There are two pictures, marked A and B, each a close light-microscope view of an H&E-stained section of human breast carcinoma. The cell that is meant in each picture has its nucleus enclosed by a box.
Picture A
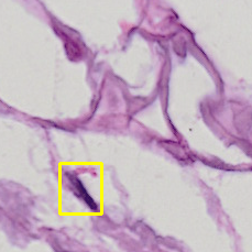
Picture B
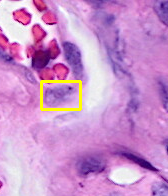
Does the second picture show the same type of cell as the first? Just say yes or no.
no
